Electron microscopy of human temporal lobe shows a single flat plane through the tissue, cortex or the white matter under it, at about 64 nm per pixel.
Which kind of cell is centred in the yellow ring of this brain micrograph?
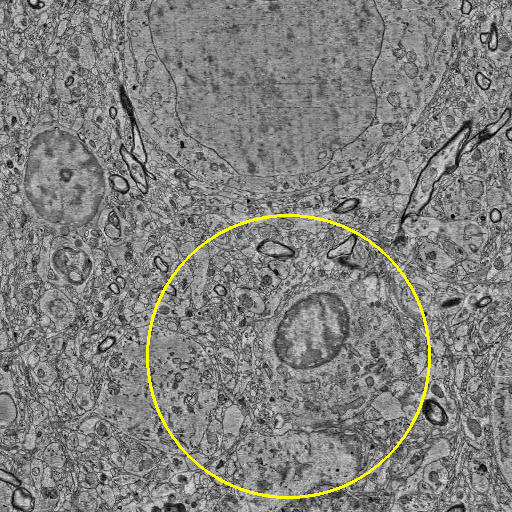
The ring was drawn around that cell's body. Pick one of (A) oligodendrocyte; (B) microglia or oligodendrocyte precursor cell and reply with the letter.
A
